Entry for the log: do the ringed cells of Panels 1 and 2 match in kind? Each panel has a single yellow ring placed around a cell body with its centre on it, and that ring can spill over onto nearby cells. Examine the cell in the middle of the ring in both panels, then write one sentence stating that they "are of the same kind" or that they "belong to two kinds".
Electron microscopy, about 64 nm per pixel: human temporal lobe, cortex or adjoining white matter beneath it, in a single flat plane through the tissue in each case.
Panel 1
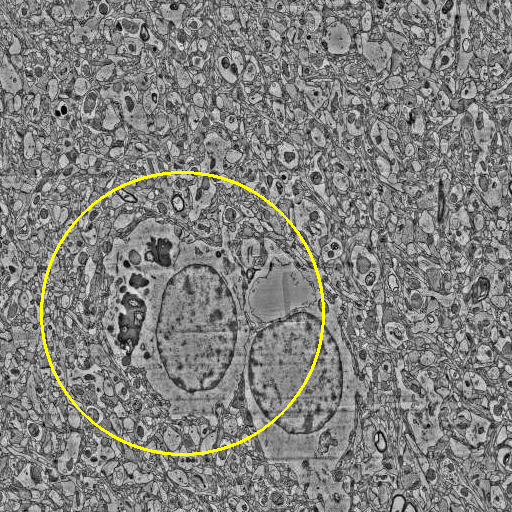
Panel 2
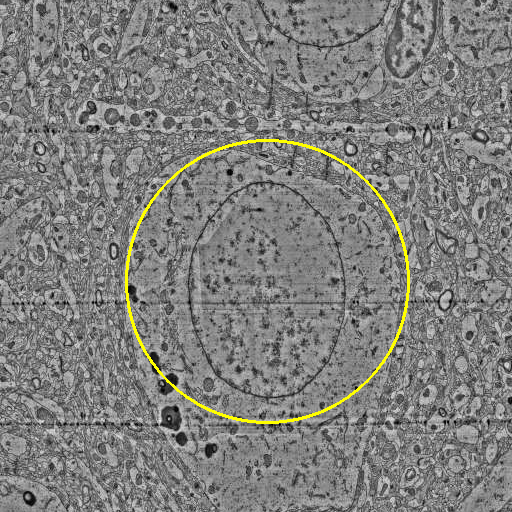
The centre cell of Panel 1's ring and that of Panel 2's ring belong to two kinds.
